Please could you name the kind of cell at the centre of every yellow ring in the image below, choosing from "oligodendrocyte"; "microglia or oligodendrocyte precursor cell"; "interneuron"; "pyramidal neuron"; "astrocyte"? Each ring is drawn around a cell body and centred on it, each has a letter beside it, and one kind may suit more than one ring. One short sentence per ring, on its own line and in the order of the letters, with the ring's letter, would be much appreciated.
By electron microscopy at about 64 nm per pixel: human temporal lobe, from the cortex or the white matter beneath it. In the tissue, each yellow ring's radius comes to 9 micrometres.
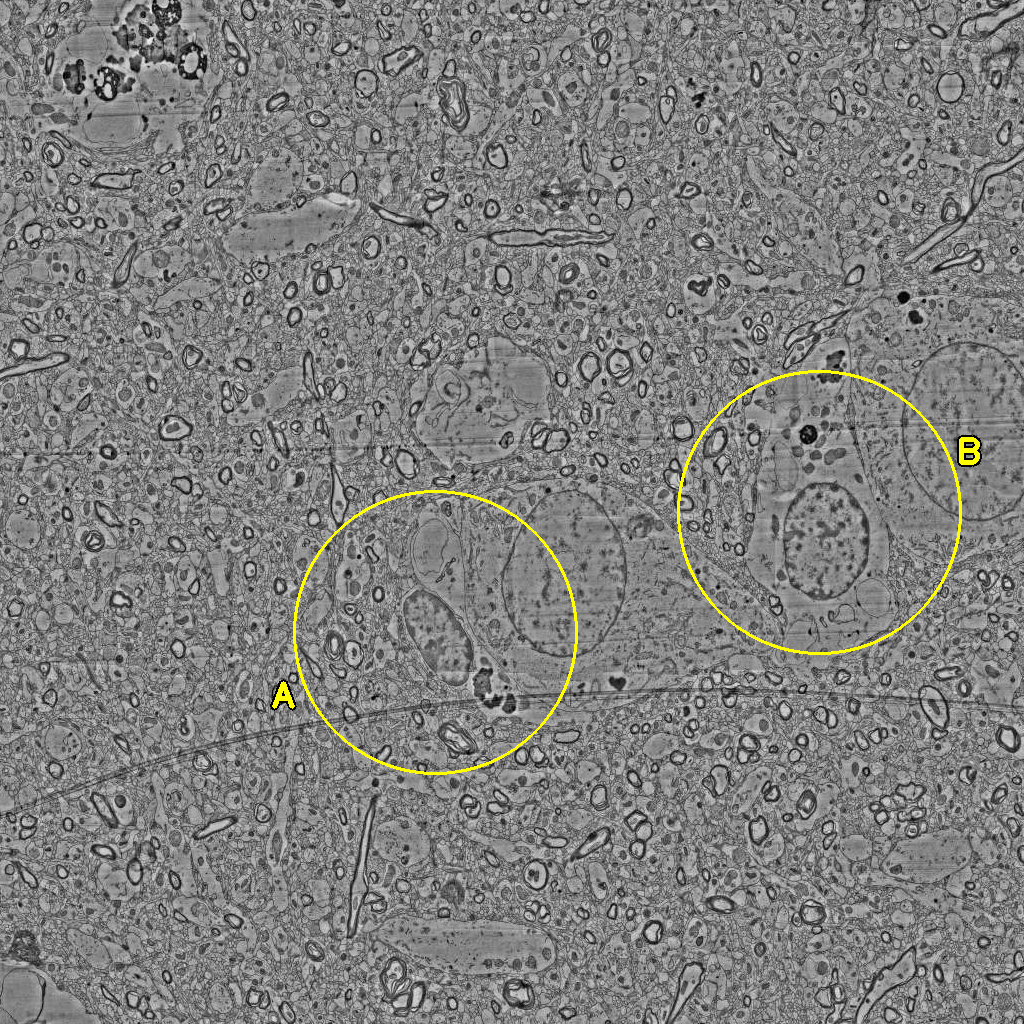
The cell in the middle of ring A is a microglial cell or oligodendrocyte precursor cell.
The cell in the middle of ring B is an astrocyte.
